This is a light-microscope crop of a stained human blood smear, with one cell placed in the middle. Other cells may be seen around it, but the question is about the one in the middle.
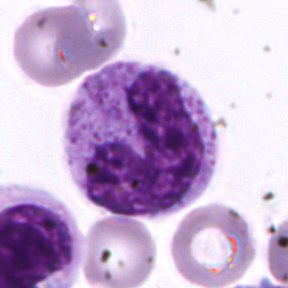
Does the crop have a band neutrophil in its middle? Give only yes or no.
yes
